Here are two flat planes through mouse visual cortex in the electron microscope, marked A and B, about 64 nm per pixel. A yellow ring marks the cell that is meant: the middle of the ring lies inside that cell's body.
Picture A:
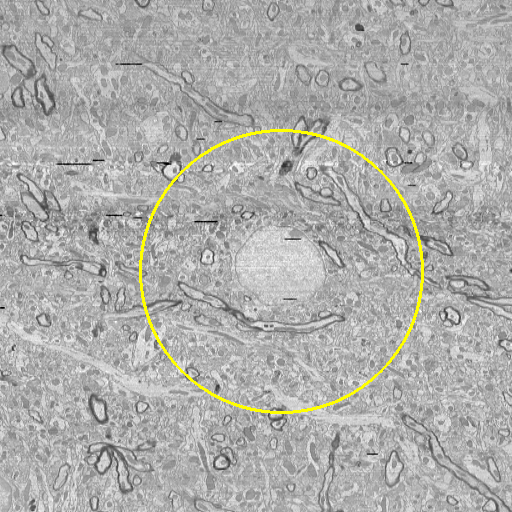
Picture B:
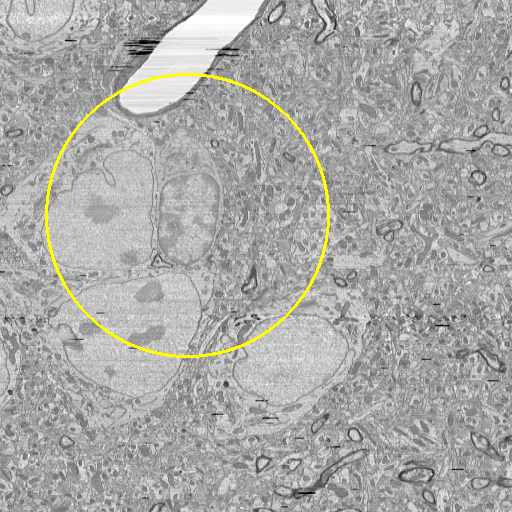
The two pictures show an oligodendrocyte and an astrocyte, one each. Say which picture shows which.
In picture A the cell is an astrocyte; in picture B, an oligodendrocyte.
